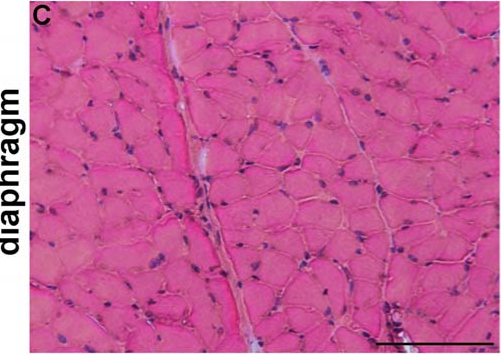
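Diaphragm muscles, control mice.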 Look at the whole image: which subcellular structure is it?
peripheral nuclei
